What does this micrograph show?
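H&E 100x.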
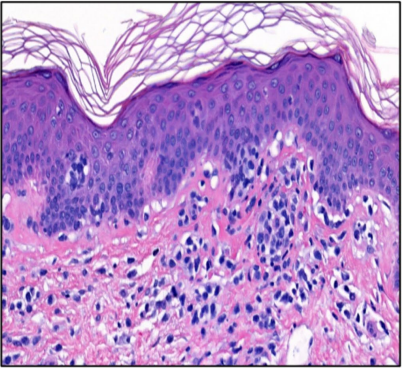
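Skin with atypical lymphocytes moving into the epidermis, some gathered as small microabscesses, above a superficial dermis showing fibroplasia. On top lies a loose, basket-weave pink stratum corneum. Beneath, the upper dermis holds pink collagen bundles with many scattered dark nuclei of lymphoid cells and spindle-shaped fibroblasts, more crowded close to the epidermis than deeper down.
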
